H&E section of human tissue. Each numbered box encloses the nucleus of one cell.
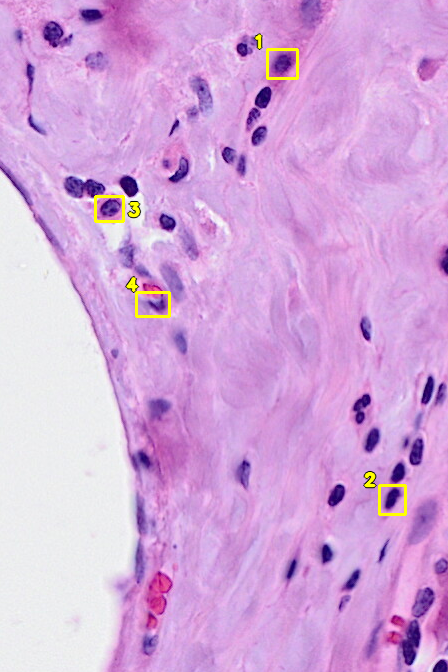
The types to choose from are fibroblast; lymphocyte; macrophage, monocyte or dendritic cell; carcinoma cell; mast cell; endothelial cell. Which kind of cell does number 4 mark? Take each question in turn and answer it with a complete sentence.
The cell tagged with 4 in this tissue section is an endothelial cell.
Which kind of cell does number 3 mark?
Belonging to a mast cell is the nucleus that carries the number 3.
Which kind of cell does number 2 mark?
The marked cell bearing number 2 is a lymphocyte.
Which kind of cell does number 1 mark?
The correct answer for cell 1 is a mast cell.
